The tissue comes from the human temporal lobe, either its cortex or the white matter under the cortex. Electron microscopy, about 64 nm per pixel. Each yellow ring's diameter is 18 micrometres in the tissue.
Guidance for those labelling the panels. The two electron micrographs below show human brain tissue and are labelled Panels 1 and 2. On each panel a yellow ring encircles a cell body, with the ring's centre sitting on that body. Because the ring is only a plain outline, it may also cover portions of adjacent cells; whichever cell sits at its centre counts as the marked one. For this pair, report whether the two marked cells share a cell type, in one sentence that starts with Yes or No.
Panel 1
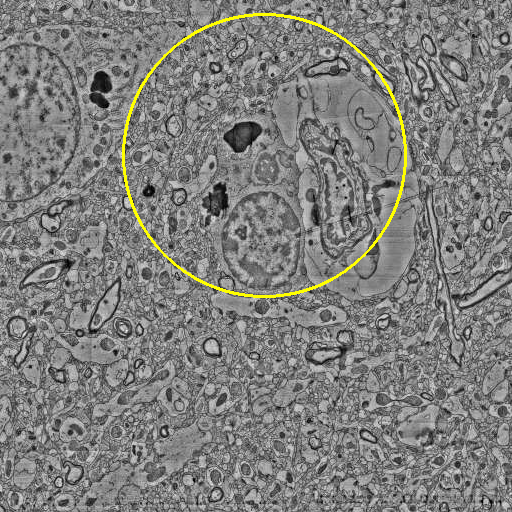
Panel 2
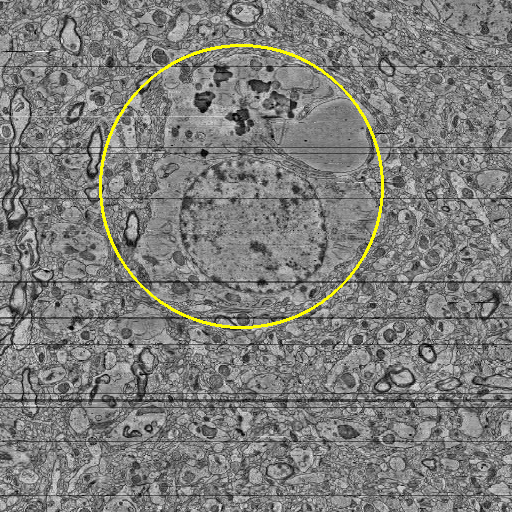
No, in Panel 1 and Panel 2 the marked cells at the ring centres are of two types.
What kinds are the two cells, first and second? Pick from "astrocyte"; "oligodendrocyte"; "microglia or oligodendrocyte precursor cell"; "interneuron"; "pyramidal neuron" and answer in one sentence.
The second picture holds an astrocyte in its ring, and the first holds an oligodendrocyte.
